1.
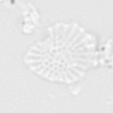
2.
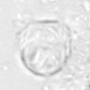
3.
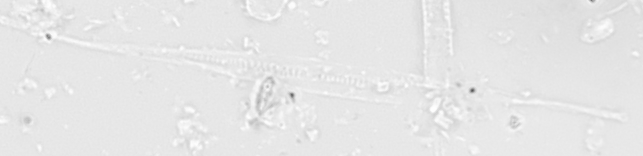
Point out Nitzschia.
That is picture 3.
